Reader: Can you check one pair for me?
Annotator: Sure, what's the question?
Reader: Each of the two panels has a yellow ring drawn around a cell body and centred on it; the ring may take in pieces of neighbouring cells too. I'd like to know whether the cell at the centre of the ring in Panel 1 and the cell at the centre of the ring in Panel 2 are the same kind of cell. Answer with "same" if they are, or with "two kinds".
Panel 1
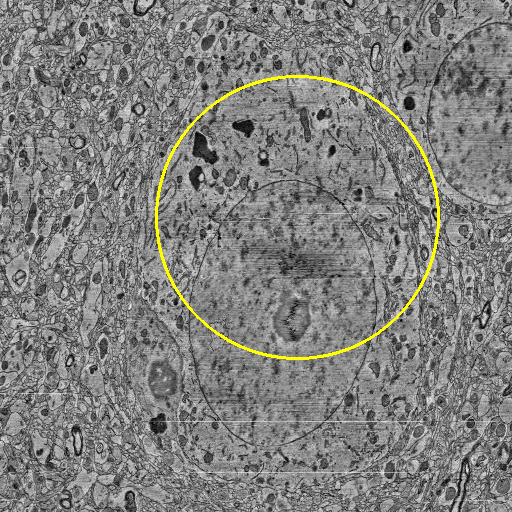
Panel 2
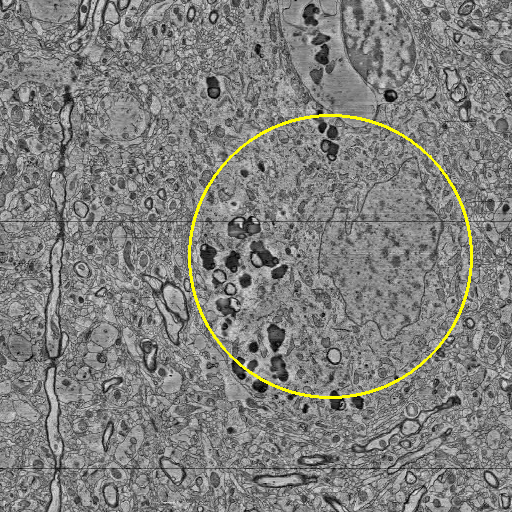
same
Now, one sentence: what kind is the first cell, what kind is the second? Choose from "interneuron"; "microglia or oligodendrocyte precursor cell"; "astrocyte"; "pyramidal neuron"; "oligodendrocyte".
In each picture the ringed cell is a pyramidal neuron.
